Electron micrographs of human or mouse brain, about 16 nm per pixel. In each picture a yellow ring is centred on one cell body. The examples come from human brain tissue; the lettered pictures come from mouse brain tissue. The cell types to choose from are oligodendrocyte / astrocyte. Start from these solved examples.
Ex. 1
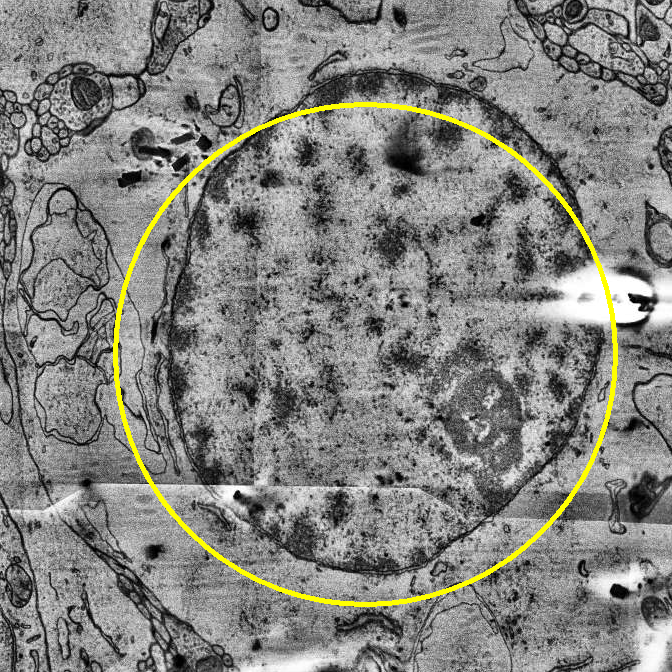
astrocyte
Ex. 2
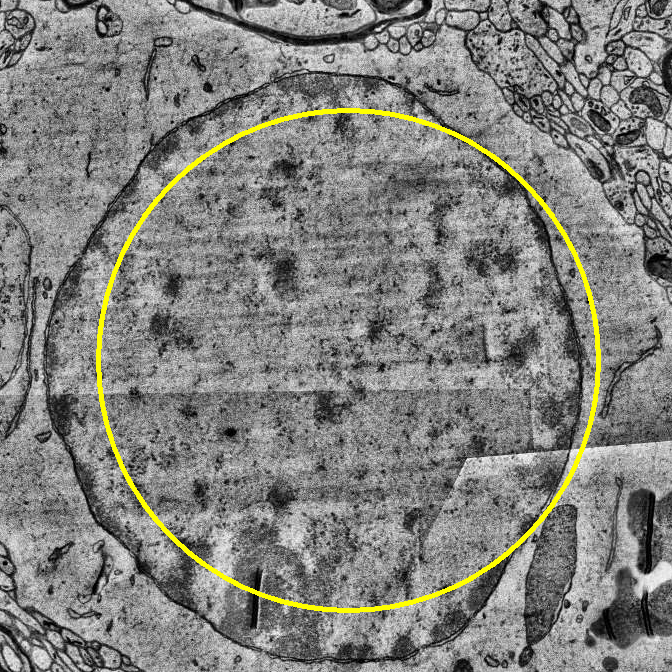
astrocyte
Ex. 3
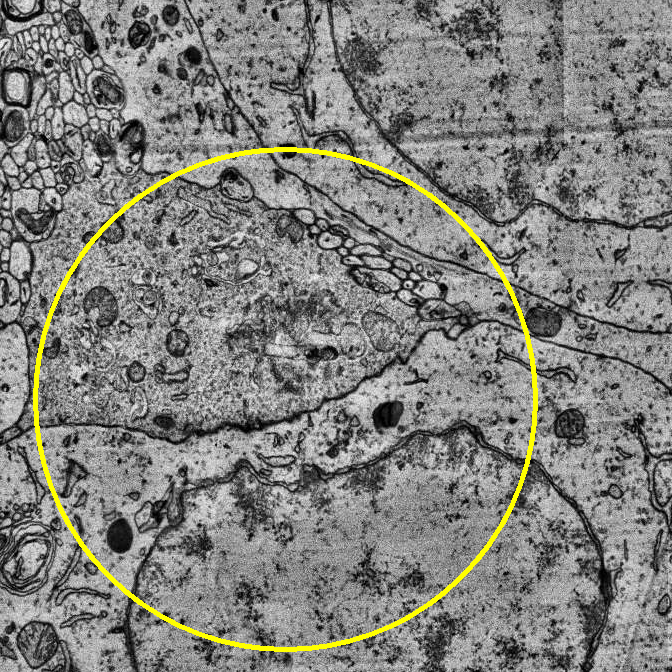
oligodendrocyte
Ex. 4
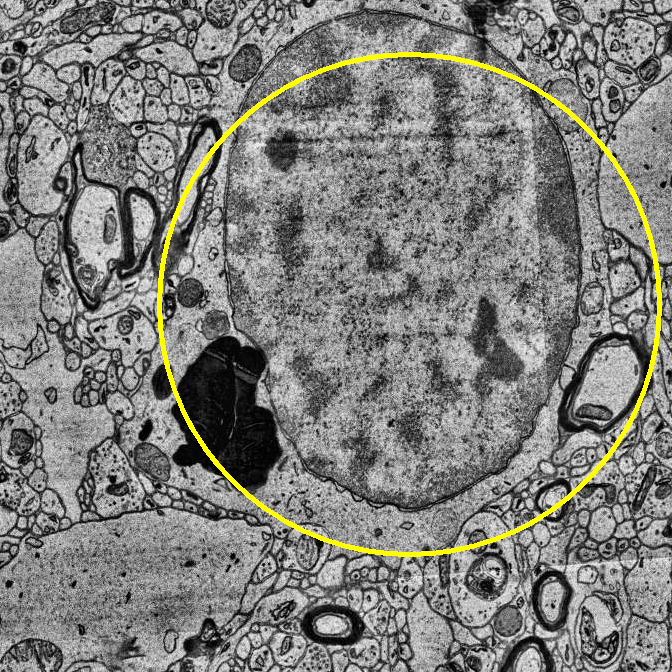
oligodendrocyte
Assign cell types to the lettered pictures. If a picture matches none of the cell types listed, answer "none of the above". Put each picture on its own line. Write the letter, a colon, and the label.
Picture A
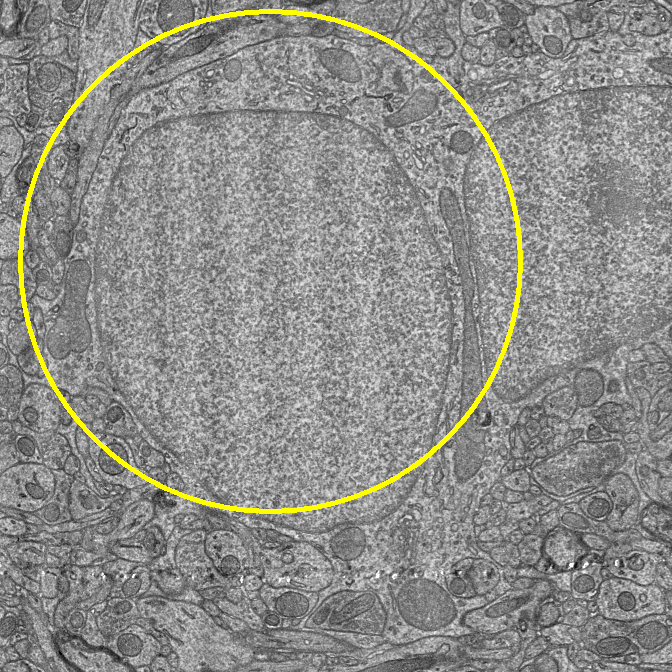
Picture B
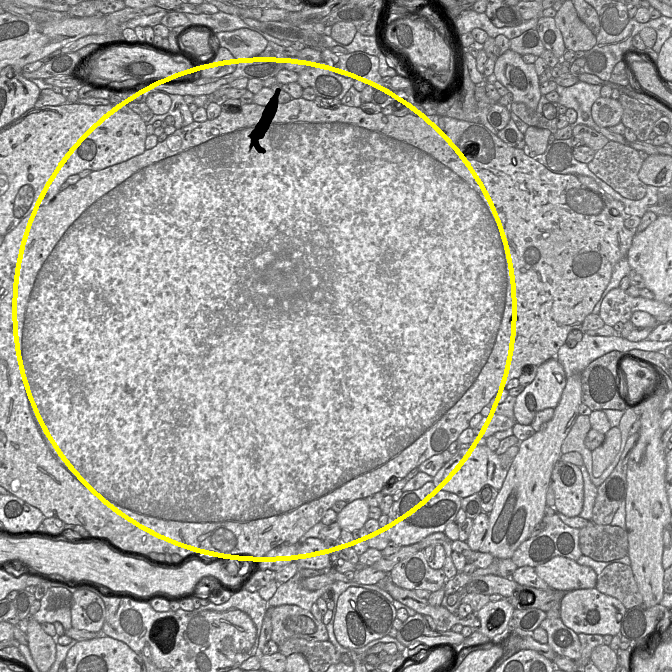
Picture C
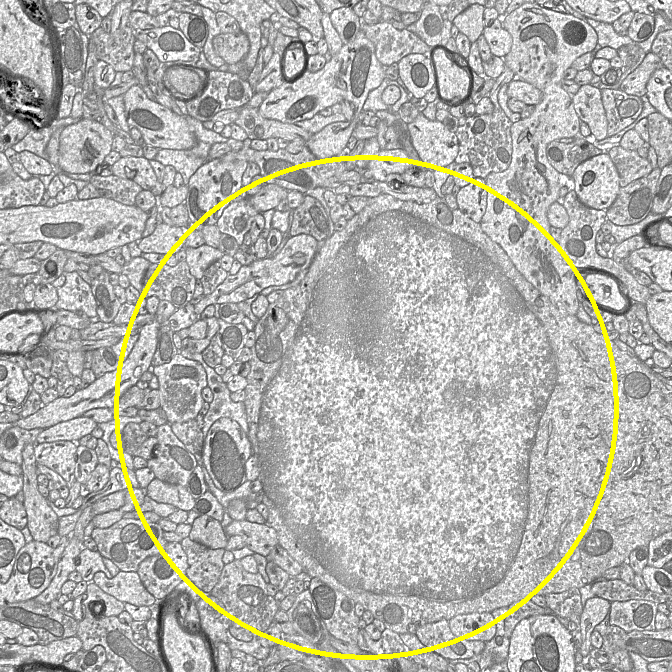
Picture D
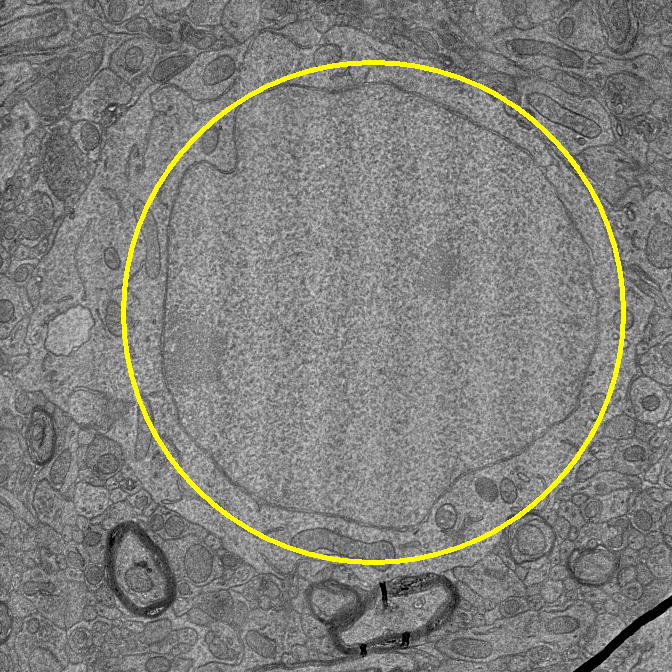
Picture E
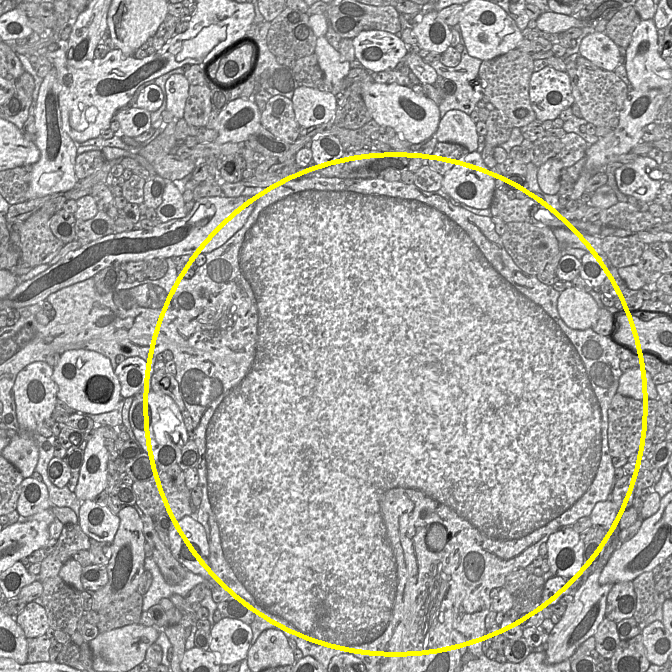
A: astrocyte
B: oligodendrocyte
C: oligodendrocyte
D: none of the above
E: astrocyte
